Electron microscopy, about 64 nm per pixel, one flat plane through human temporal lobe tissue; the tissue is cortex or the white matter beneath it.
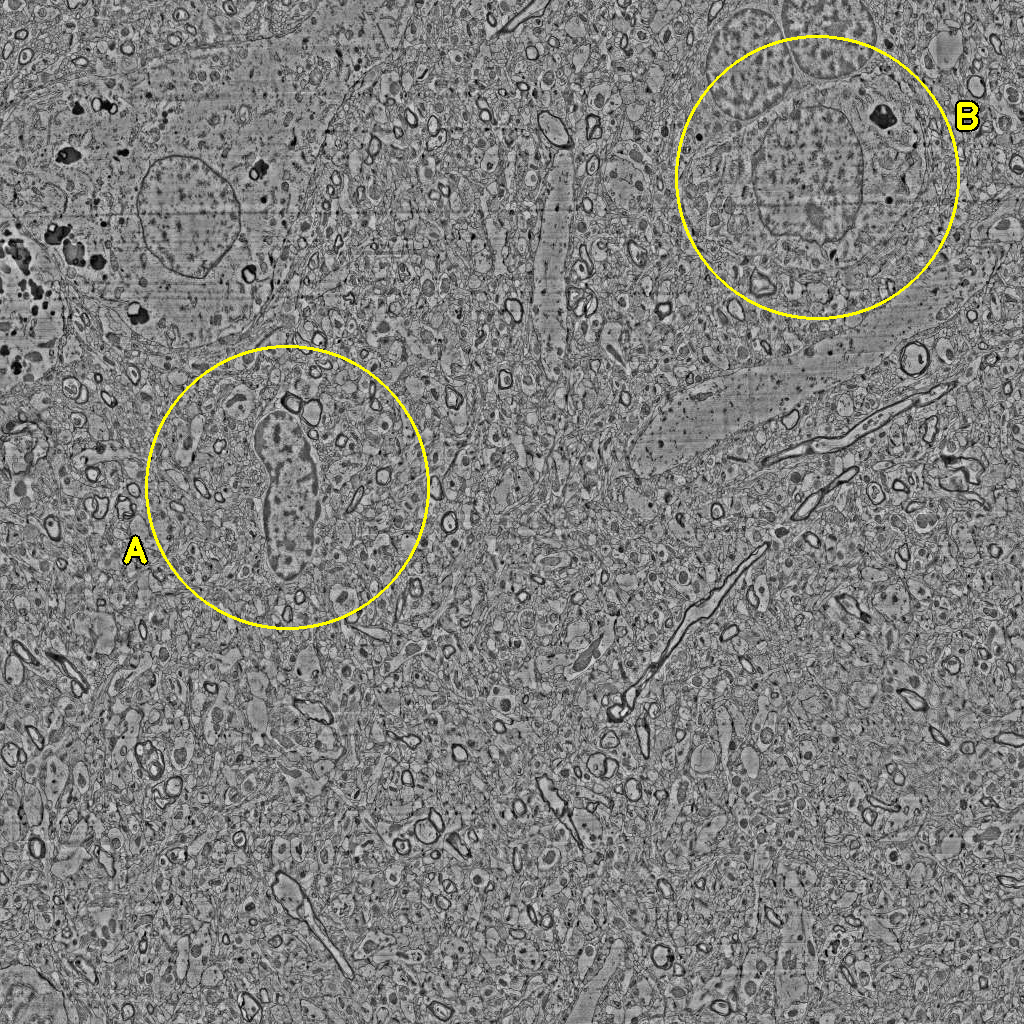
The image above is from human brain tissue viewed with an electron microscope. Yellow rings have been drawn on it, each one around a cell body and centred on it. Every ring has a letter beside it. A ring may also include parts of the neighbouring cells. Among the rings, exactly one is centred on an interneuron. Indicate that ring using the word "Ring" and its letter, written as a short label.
Ring B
